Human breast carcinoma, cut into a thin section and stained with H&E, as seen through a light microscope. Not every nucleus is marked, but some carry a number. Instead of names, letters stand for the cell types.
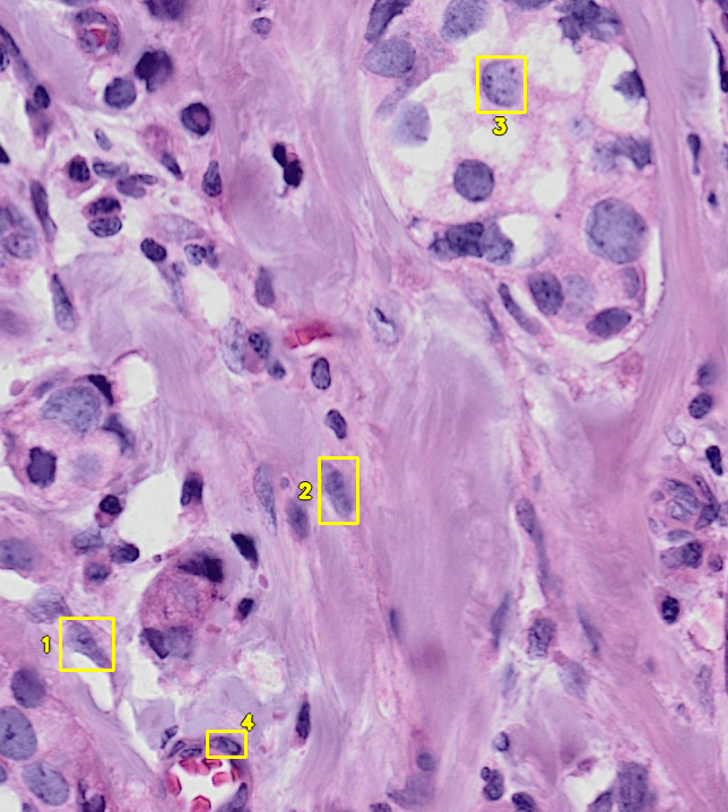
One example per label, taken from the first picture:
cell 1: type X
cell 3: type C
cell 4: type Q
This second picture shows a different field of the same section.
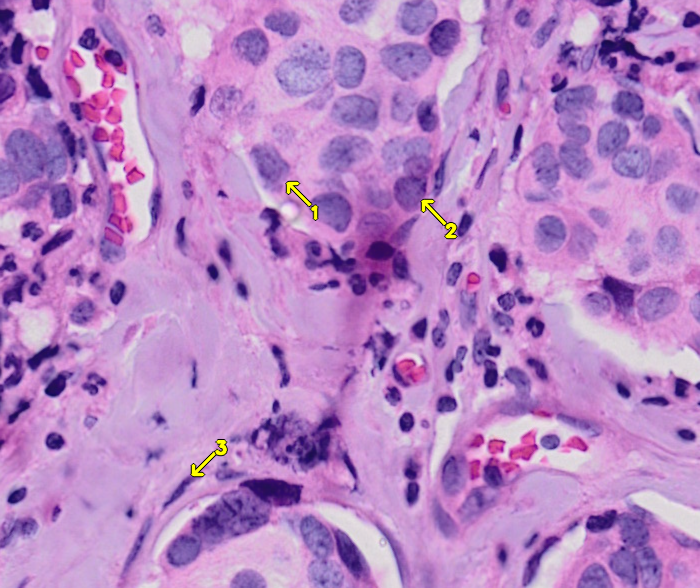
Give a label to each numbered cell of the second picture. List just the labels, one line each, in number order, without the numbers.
type C
type C
type X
